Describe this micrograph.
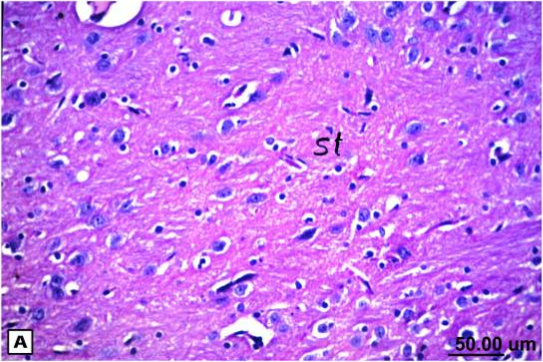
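Section of striatum with neurons bearing round pale nuclei and small dark glial nuclei scattered evenly in a pink, fibrillar neuropil crossed by streaming fibre bundles. The matrix is continuous, with only a few clear spaces around vessels and cells.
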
